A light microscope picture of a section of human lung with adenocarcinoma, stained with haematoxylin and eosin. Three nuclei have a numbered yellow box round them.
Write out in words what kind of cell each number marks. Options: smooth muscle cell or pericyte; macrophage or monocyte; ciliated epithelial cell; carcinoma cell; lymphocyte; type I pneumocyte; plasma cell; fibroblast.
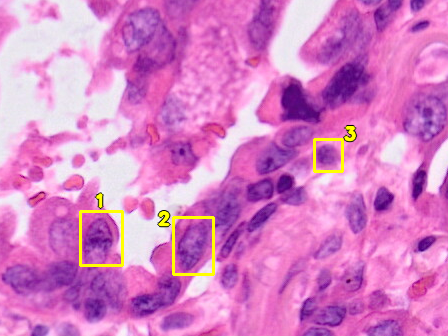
Cell 1 is a carcinoma cell, cell 2 is a carcinoma cell and cell 3 is a plasma cell.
